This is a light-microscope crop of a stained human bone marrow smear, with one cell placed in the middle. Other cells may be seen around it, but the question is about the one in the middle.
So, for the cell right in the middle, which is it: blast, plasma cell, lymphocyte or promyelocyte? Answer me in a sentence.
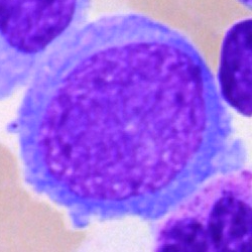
Where the crop is centred, there is a blast.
